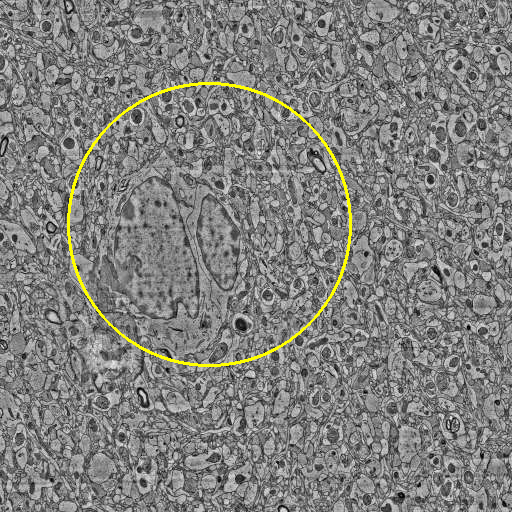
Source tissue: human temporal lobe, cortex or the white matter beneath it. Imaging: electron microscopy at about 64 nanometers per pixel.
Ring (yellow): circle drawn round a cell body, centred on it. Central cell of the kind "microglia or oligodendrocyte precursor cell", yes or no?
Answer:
yes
